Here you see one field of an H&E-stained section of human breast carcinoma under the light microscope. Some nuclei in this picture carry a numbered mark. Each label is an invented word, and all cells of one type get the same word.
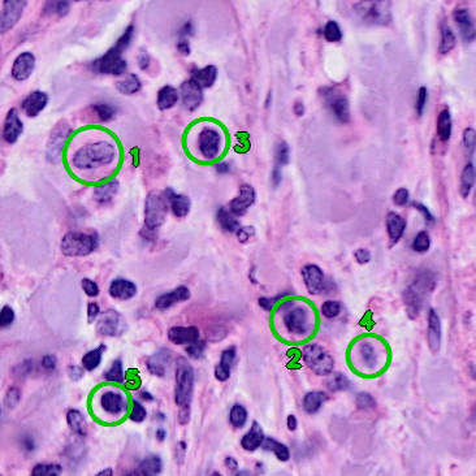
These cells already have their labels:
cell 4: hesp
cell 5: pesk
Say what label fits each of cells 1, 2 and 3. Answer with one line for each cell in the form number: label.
1: hesp
2: pesk
3: pesk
